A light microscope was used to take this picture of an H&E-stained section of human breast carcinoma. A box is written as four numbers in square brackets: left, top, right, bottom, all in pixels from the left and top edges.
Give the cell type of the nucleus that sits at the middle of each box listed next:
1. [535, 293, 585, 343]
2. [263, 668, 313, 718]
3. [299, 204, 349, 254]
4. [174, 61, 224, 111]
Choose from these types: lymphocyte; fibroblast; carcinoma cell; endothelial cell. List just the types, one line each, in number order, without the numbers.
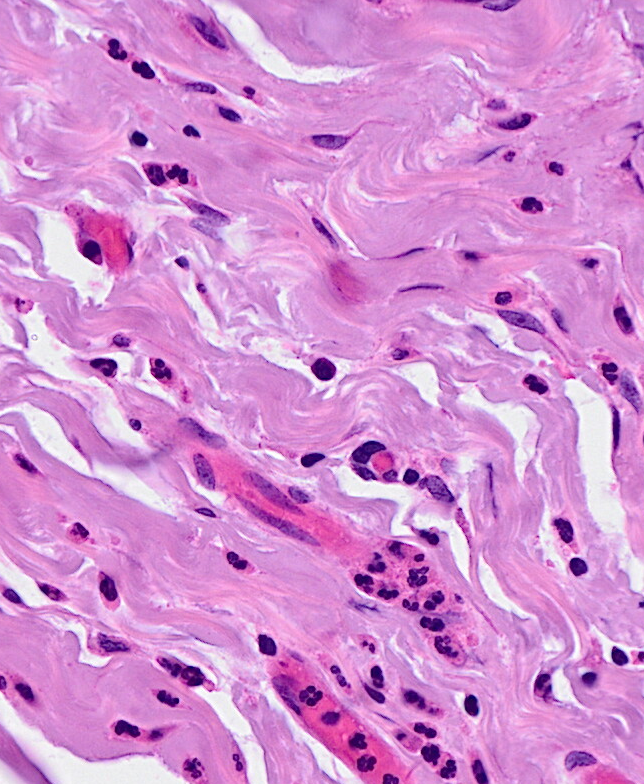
fibroblast
endothelial cell
fibroblast
fibroblast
